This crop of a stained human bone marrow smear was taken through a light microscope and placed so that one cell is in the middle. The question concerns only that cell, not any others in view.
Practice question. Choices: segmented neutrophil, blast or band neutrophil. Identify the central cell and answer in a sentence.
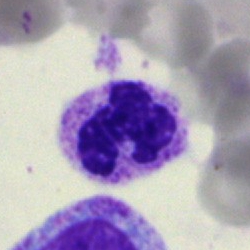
In the middle of this smear crop, the cell is a segmented neutrophil.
